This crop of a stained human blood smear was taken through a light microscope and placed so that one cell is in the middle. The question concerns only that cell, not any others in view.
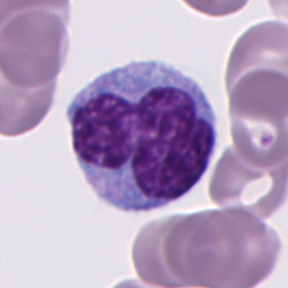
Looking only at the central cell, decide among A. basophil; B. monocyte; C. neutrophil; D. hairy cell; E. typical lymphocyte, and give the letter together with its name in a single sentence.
Correctly, option B names the cell in the middle a monocyte.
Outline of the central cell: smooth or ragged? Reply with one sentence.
You can see a smooth boundary, with no projections sticking out.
